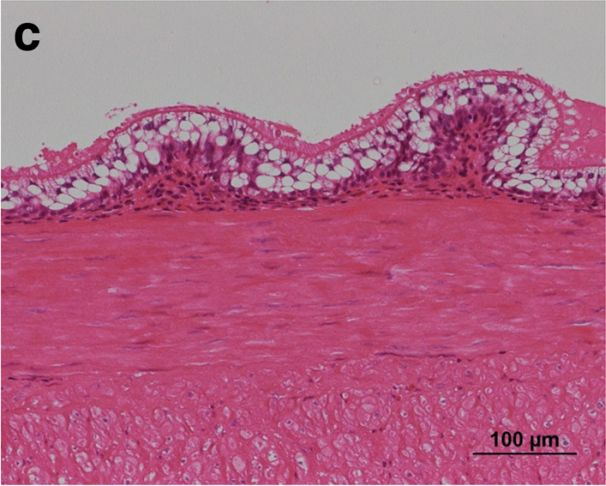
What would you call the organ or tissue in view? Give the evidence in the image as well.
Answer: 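A fine hair-like fringe runs along the luminal border. Many clear, vacuole-like cells lie among the tall cells.
Conclusion: columnar ciliated epithelium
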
